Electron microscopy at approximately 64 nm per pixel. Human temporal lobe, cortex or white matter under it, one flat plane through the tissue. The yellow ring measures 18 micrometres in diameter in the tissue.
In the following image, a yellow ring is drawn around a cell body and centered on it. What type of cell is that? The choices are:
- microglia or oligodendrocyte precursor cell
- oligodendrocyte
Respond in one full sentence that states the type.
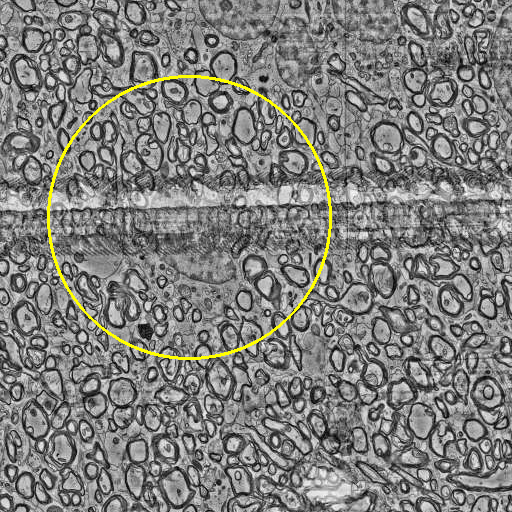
The cell at the center of the yellow ring in the image is an oligodendrocyte.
